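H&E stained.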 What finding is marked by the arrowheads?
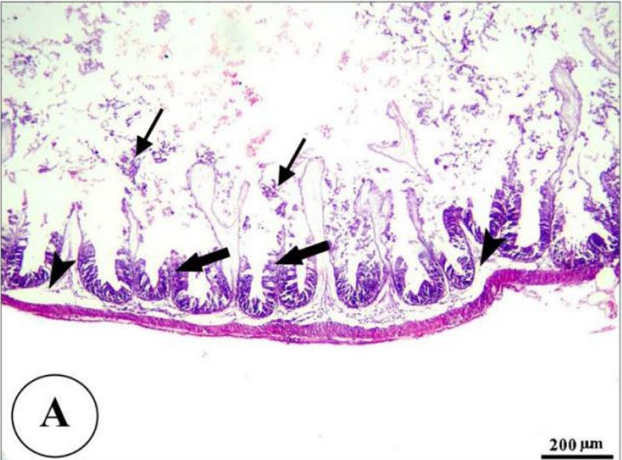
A: Edema in the lamina propria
